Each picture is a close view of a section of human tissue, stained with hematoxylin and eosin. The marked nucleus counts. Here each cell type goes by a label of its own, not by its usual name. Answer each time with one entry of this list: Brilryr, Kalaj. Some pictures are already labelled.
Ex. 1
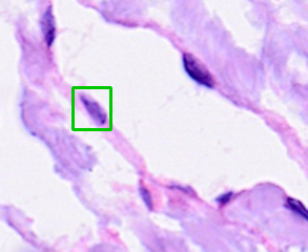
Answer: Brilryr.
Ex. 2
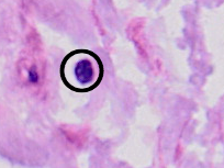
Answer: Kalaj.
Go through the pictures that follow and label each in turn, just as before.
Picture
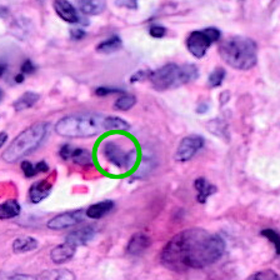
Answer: Brilryr.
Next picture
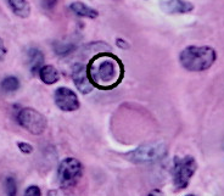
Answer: Kalaj.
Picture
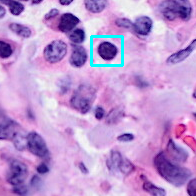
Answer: Kalaj.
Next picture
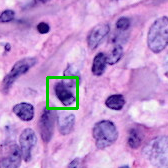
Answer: Kalaj.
